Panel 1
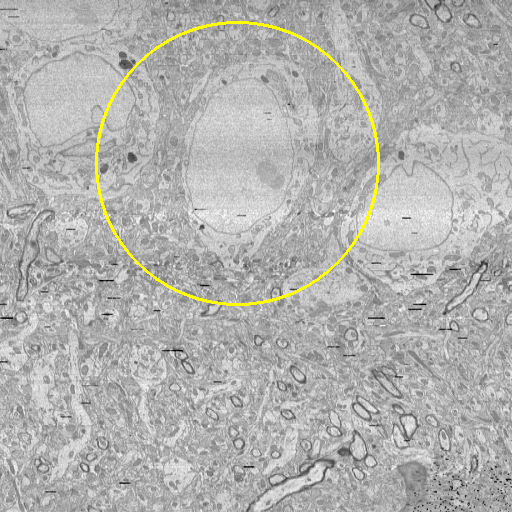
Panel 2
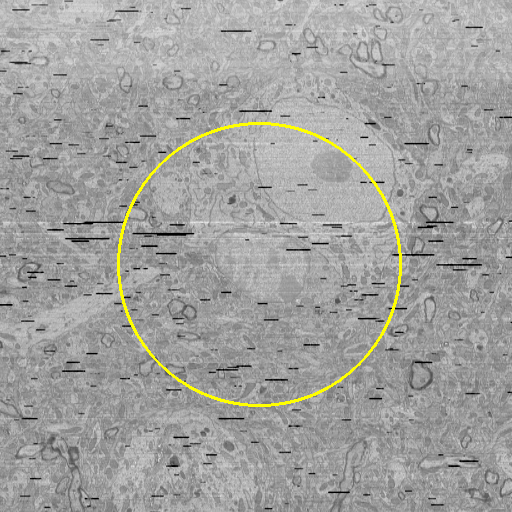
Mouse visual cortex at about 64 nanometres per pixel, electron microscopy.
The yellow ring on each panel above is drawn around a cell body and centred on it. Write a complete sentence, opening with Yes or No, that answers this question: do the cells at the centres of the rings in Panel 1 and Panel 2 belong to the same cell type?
No, the two cells belong to two cell types.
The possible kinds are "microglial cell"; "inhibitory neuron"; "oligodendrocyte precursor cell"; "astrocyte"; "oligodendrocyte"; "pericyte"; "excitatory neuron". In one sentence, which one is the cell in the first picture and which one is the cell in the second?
The cell ringed in the second picture is an oligodendrocyte, whereas the one ringed in the first is an excitatory neuron.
